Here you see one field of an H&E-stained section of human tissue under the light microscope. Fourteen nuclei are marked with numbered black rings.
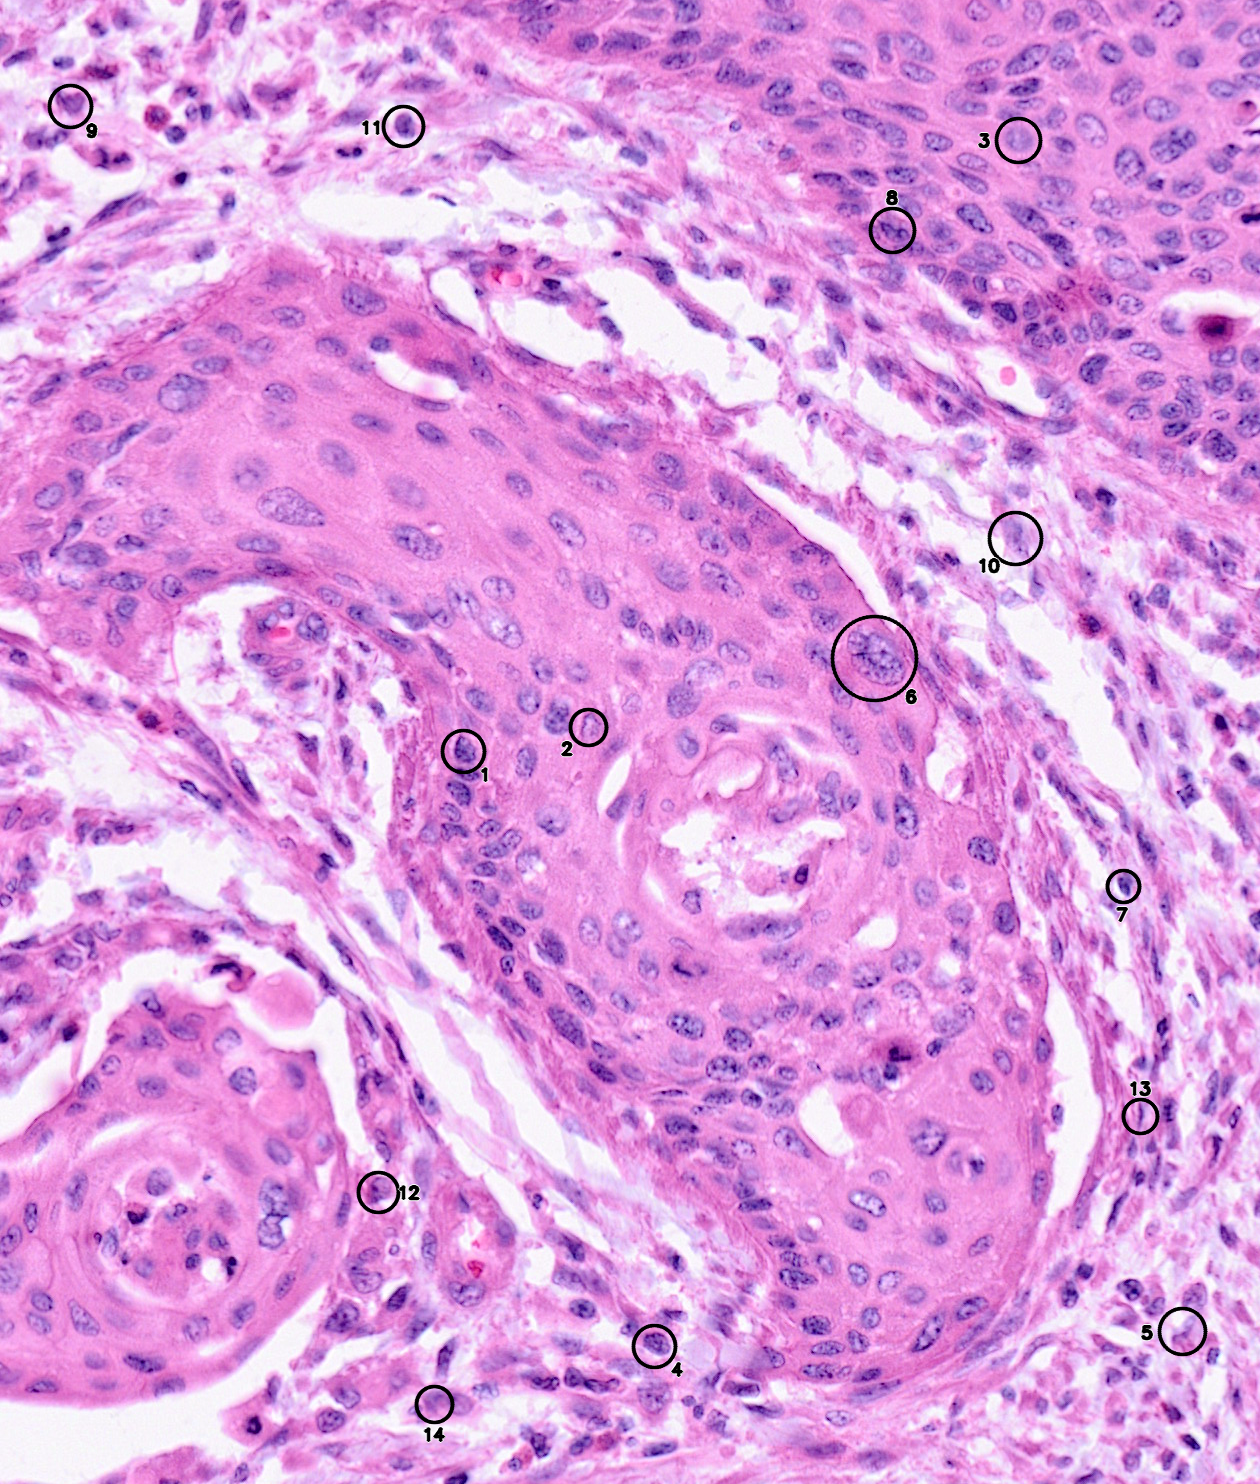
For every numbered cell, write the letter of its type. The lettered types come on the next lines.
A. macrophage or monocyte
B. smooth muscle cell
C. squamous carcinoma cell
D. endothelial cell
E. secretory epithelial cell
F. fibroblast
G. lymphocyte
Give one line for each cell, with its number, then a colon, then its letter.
1: C
2: C
3: C
4: G
5: F
6: C
7: G
8: C
9: A
10: F
11: G
12: A
13: F
14: A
